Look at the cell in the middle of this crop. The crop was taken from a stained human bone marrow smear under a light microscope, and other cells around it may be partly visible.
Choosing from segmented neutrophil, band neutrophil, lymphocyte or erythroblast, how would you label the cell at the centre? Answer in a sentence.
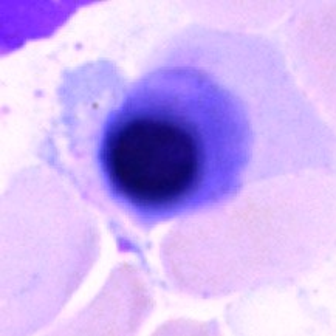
In the center of this field lies an erythroblast.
